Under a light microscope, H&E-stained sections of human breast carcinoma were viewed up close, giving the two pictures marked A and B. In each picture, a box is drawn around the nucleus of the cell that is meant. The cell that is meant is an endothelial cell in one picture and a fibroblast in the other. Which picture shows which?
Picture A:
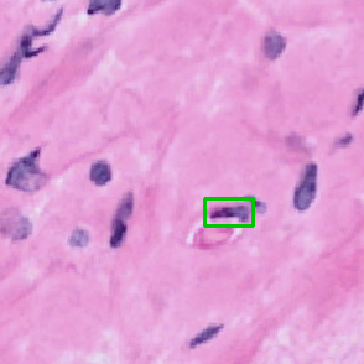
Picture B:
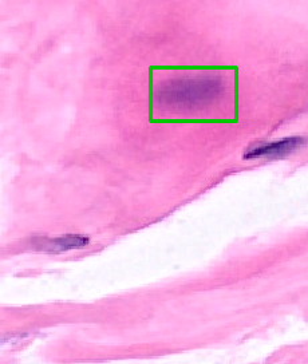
A: endothelial cell
B: fibroblast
